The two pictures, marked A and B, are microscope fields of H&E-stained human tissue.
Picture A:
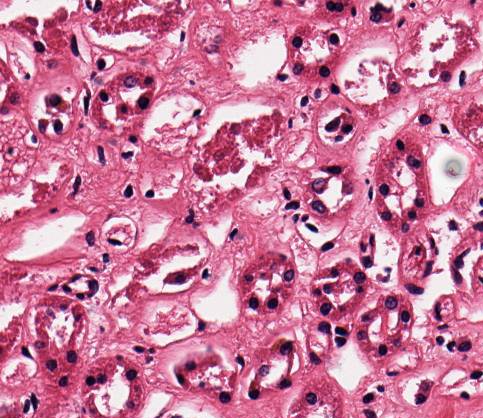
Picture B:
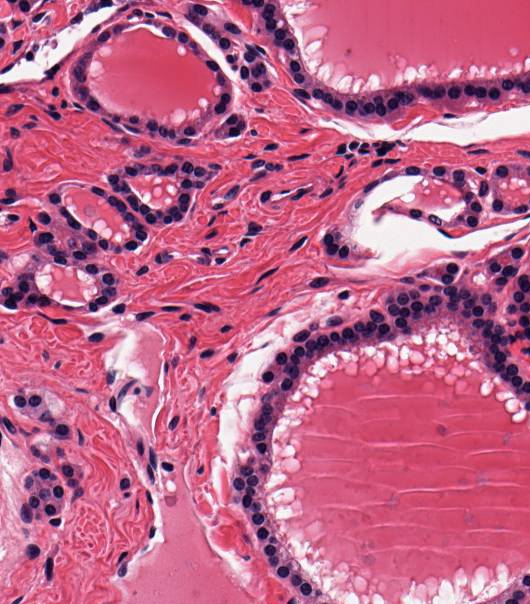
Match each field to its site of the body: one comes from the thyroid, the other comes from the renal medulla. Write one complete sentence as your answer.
Picture A comes from the renal medulla and picture B comes from the thyroid.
